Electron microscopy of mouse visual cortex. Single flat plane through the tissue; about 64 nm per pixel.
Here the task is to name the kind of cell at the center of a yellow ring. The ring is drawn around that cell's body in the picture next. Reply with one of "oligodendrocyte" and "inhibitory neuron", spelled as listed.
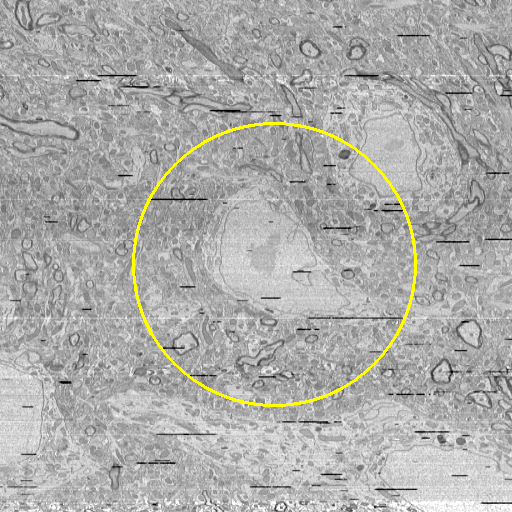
inhibitory neuron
